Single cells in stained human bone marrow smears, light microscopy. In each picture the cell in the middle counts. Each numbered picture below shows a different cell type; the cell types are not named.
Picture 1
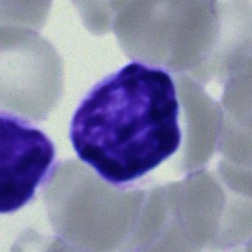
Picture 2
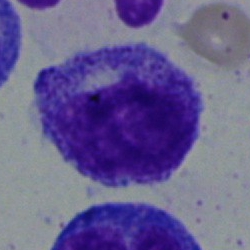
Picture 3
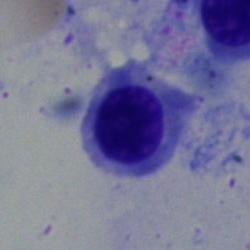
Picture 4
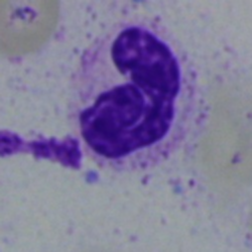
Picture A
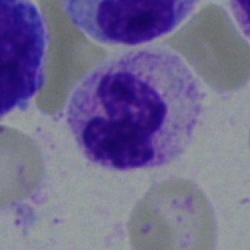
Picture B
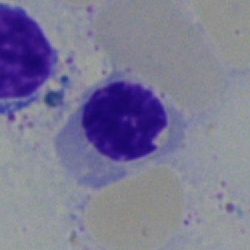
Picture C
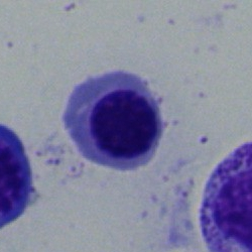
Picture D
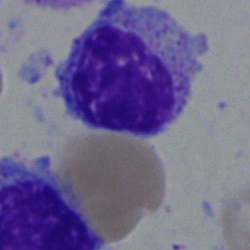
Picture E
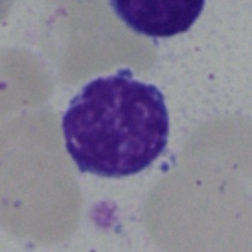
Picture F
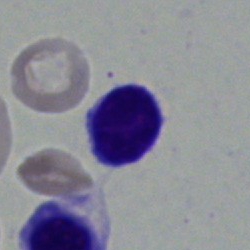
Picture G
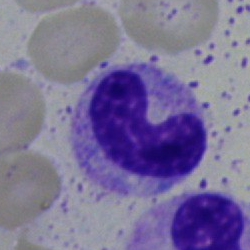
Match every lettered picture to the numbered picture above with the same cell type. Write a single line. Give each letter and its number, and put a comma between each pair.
A 4, B 3, C 3, D 2, E 1, F 1, G 4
